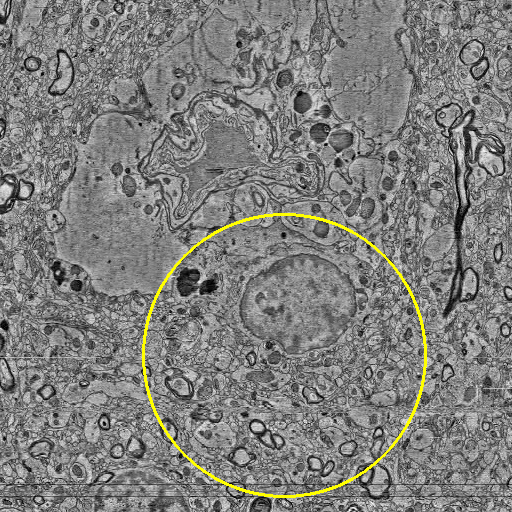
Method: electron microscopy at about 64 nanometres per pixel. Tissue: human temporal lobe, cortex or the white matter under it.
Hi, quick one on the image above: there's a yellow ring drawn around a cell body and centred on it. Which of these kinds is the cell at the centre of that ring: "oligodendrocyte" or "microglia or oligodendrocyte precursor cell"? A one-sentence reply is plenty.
The cell at the centre of the ring is an oligodendrocyte.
